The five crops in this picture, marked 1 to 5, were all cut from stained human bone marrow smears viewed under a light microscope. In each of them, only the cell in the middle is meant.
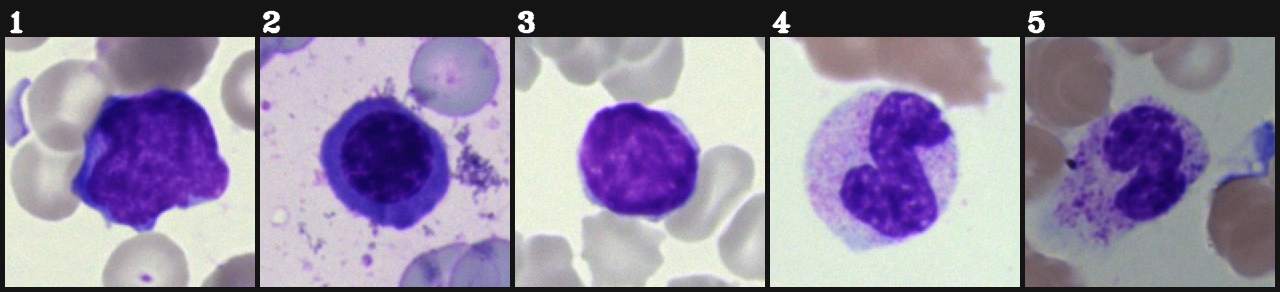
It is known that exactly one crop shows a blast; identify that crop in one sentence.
The crop carrying a blast at the center is crop 1.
